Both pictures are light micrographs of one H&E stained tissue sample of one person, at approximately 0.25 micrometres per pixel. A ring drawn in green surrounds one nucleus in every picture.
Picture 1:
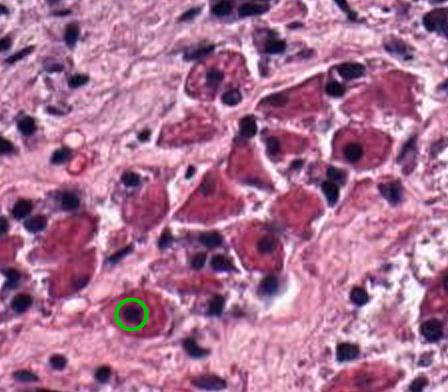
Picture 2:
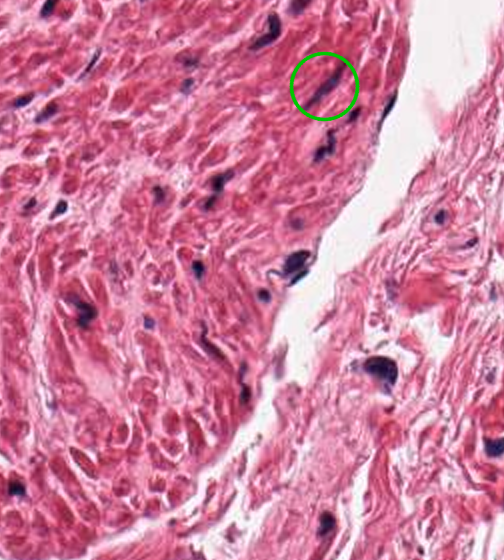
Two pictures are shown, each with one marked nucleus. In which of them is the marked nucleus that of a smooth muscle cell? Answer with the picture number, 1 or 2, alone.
2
